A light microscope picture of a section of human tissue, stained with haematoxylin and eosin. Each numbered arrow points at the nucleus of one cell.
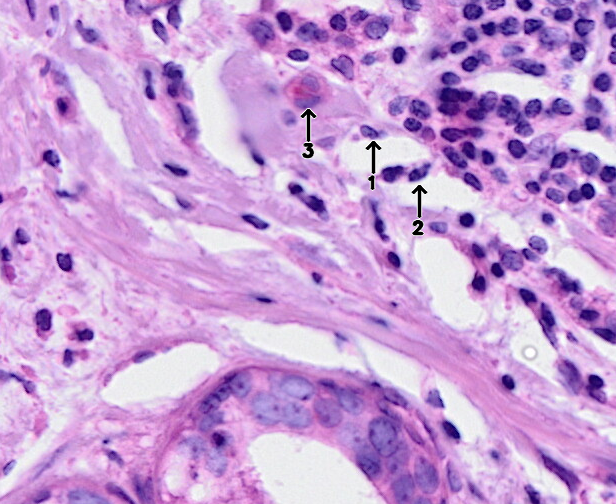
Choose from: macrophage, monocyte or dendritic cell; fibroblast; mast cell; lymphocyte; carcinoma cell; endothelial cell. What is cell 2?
lymphocyte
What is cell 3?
endothelial cell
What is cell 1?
lymphocyte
